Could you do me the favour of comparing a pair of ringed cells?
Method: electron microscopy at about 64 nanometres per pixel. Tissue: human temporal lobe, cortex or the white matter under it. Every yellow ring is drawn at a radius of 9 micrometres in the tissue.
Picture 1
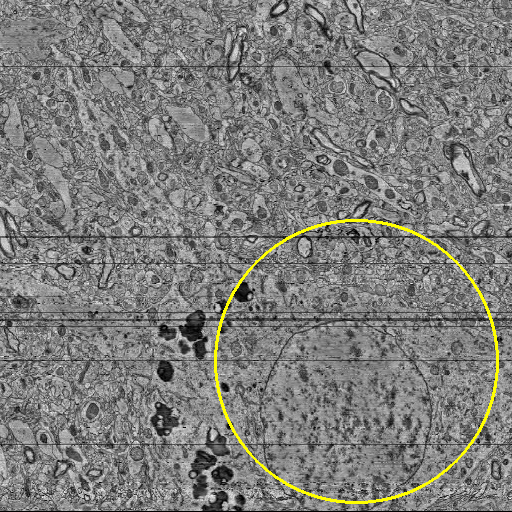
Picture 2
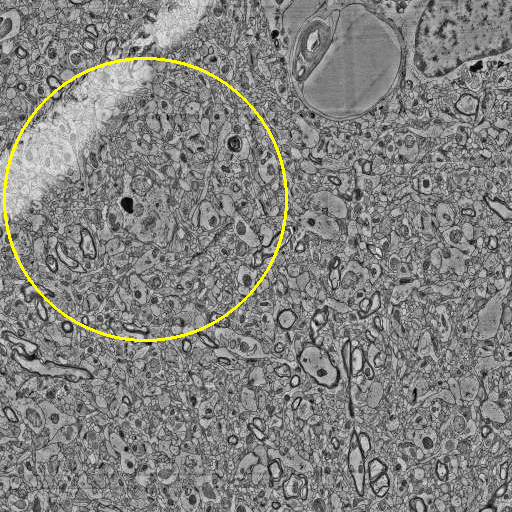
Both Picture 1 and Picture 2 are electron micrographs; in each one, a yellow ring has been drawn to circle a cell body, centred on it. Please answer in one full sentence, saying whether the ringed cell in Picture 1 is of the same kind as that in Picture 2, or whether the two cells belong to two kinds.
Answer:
The ringed cells in Picture 1 and Picture 2 belong to two kinds.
